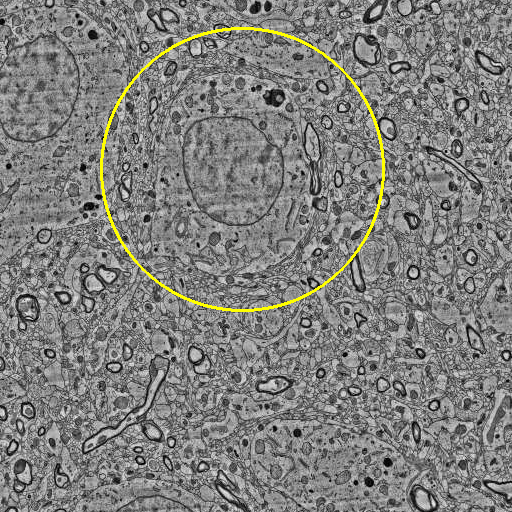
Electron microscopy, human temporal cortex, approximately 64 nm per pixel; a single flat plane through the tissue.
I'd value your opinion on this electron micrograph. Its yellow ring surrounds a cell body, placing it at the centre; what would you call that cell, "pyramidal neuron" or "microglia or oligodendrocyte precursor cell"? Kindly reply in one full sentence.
It is a pyramidal neuron that sits centred within the yellow ring in this micrograph.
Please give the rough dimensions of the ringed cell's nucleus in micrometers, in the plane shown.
The ringed cell's nucleus measures approximately 7 by 6 micrometres in this plane.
